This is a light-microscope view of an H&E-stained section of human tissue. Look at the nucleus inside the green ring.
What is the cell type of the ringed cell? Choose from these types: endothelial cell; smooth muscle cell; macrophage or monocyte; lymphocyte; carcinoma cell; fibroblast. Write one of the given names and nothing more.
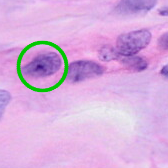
endothelial cell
